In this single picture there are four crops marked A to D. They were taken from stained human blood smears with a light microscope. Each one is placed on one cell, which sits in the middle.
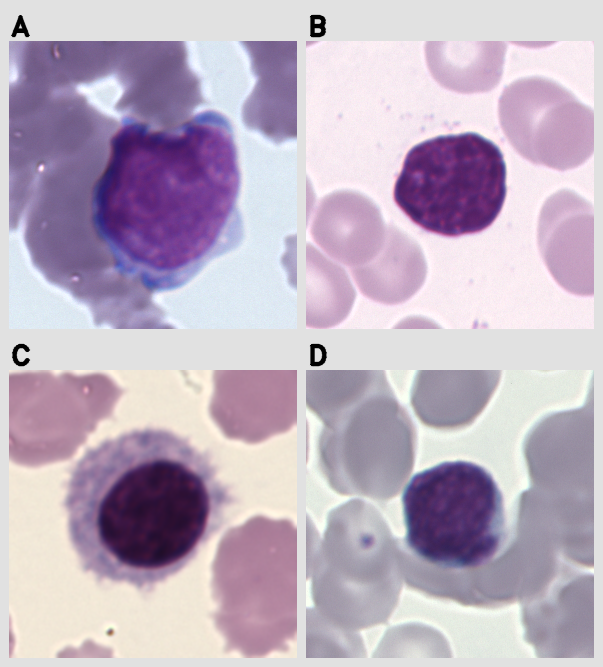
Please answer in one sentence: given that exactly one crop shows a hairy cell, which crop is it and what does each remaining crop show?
There is a hairy cell in crop C, while crop A is a myeloblast, crop B is a smudge cell and crop D is a typical lymphocyte.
